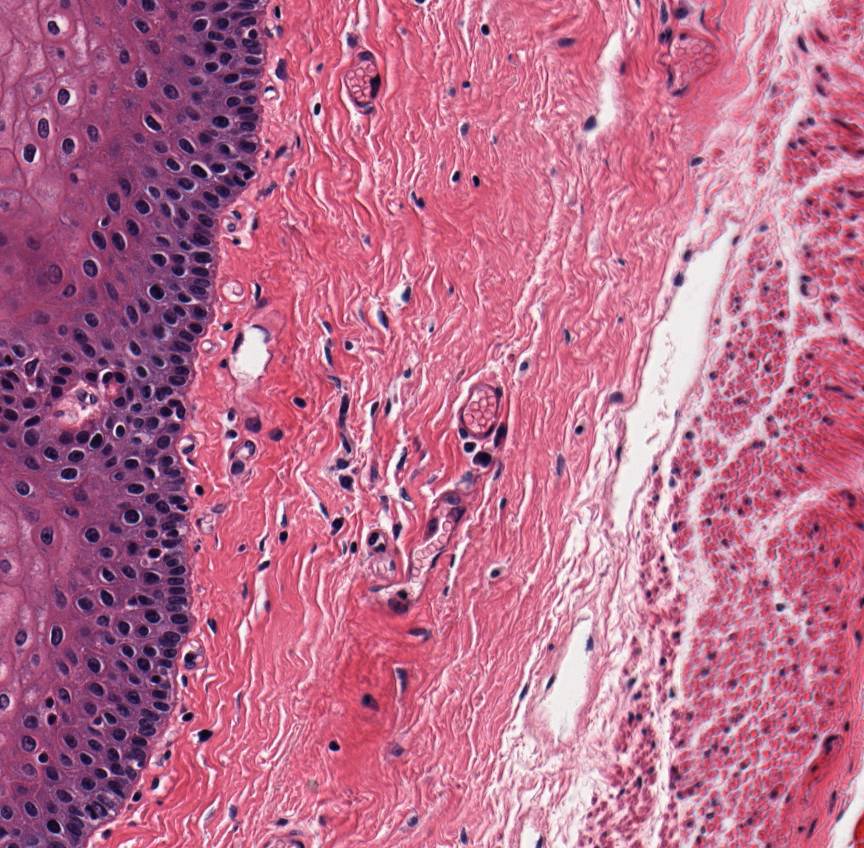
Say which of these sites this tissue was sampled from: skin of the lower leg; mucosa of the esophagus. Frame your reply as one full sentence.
It is the mucosa of the esophagus from which this tissue was sampled.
